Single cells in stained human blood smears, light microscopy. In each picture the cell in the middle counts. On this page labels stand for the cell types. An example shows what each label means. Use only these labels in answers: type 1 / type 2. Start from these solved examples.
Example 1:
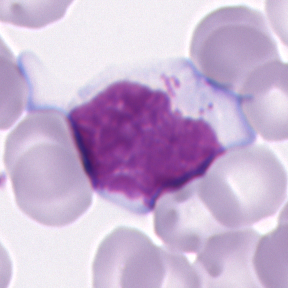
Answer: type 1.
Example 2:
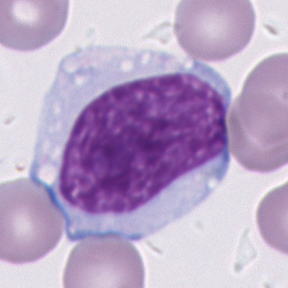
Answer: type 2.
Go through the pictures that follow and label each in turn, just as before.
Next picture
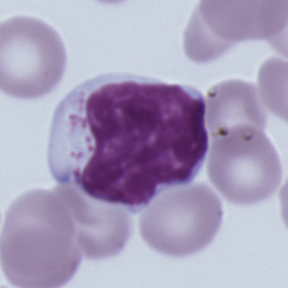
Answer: type 1.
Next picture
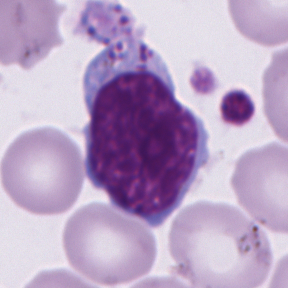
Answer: type 1.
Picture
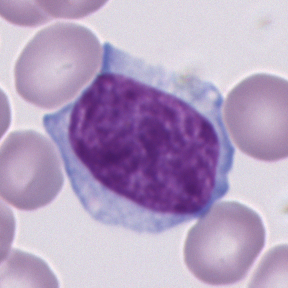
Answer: type 2.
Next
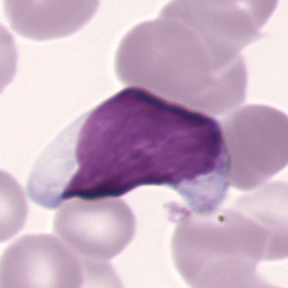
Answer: type 1.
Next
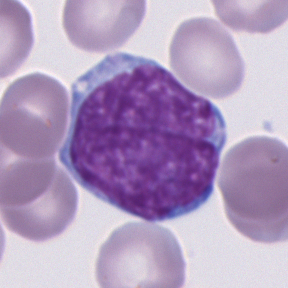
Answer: type 2.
